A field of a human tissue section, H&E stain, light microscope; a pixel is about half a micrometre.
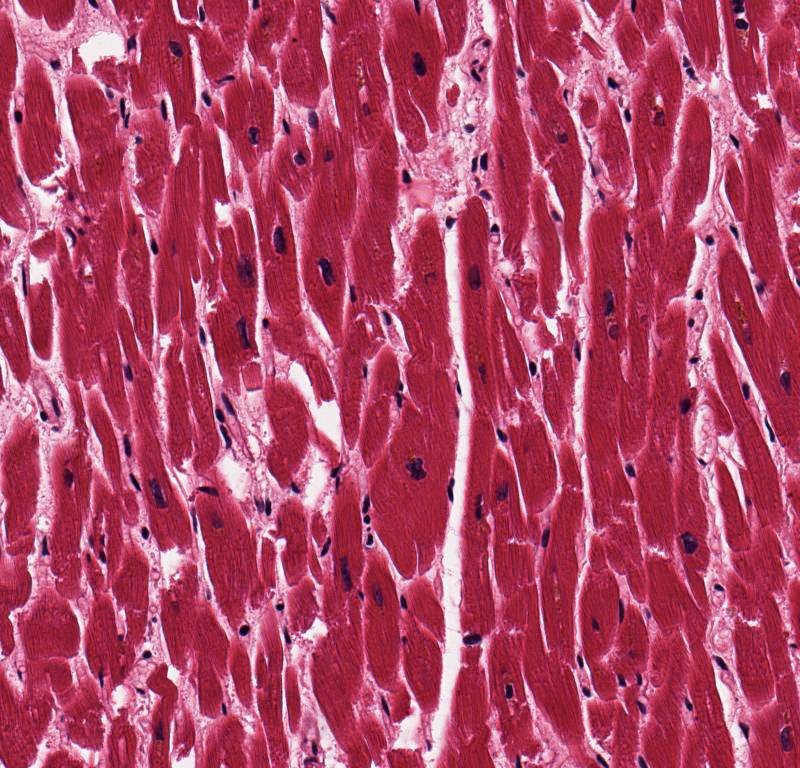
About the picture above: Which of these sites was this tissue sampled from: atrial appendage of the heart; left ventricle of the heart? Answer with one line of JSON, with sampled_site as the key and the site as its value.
{"sampled_site": "left ventricle of the heart"}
